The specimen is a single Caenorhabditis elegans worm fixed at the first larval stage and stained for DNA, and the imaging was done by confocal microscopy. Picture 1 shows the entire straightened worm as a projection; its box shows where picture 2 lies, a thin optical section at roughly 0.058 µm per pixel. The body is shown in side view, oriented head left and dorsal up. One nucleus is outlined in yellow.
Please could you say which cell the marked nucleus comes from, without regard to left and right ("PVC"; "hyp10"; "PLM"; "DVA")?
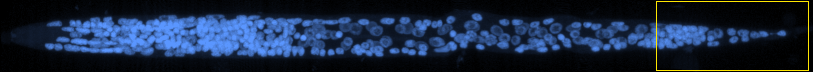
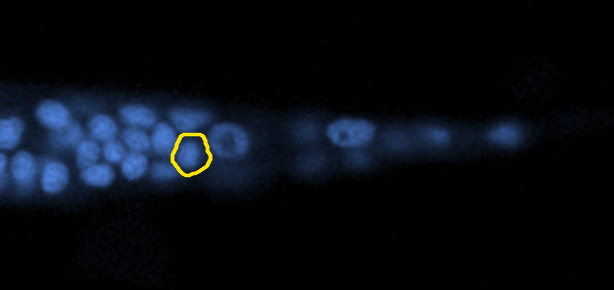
PLM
